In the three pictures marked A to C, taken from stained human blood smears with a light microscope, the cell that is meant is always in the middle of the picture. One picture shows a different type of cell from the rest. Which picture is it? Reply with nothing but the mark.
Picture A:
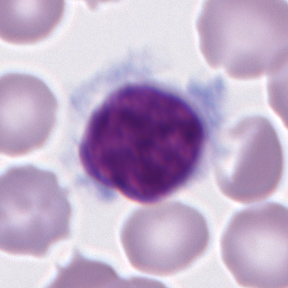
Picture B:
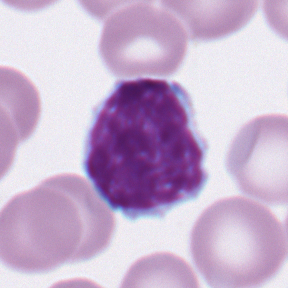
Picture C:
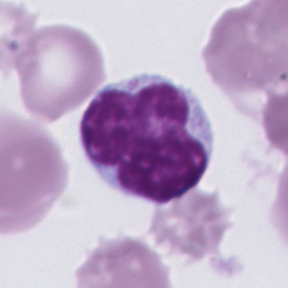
A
